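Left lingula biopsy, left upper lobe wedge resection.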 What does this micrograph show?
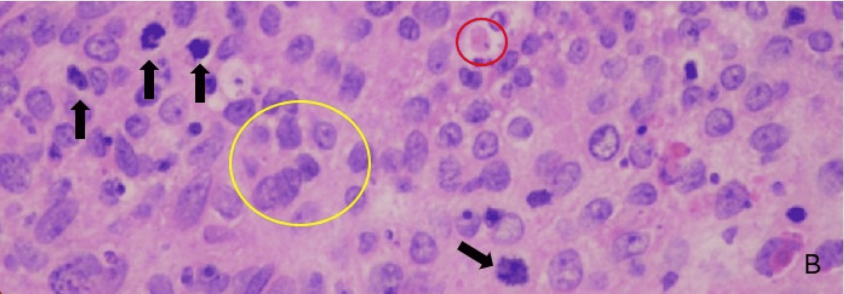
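A sheet of atypical tumour cells fills the field, with no glands and no keratin. The nuclei are large, vesicular and crowded, varying markedly in size and shape, with irregular, folded outlines and visible nucleoli in some; cytoplasm is pale pink and ill-defined. Several cells hold dark, clumped chromatin without a nuclear membrane, the look of mitotic figures, one with an irregular spiky chromosome mass. Together these show marked nuclear pleomorphism and high proliferative activity of a nonkeratinizing carcinoma.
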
